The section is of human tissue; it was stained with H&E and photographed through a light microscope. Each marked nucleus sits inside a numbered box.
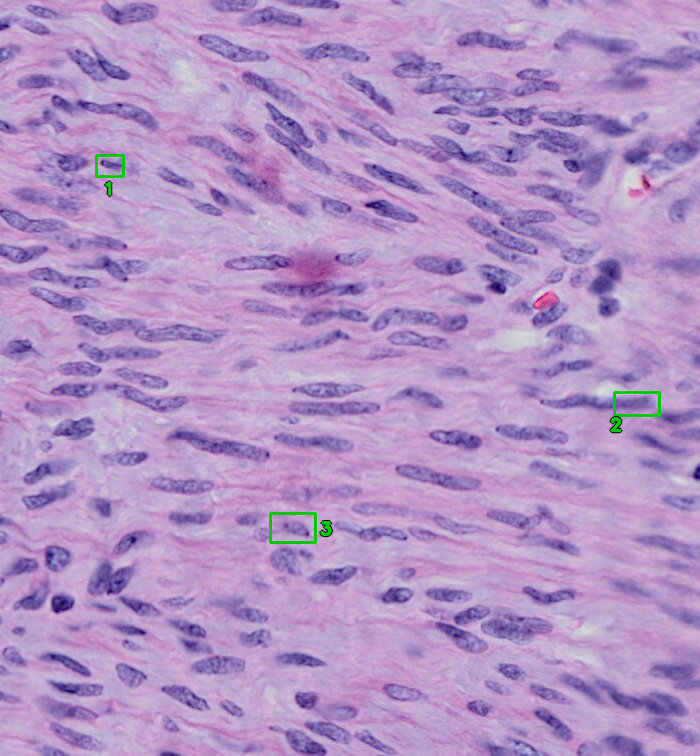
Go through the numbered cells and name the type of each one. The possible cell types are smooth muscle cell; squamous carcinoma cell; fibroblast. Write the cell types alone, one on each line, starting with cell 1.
smooth muscle cell
fibroblast
smooth muscle cell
